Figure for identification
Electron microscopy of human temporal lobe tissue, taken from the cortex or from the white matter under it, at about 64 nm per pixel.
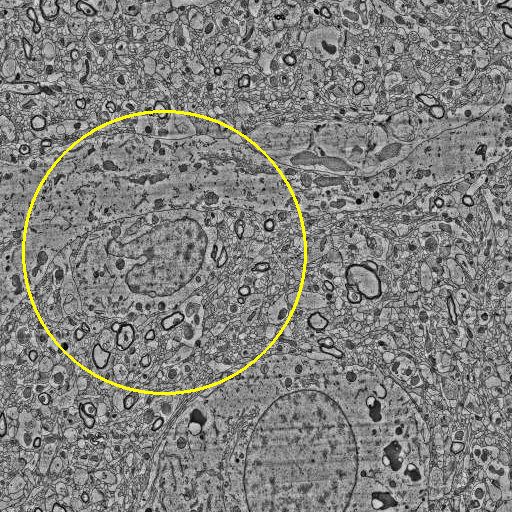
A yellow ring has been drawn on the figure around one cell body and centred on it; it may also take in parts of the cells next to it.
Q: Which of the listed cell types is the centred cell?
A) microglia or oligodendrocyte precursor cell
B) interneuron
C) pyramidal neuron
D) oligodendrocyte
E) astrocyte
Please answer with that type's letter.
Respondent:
B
